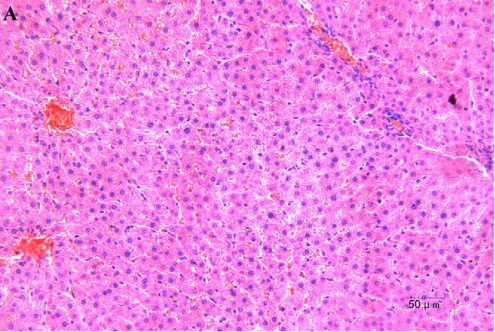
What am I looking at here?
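This is liver tissue composed of hepatocytes arranged in cords that radiate from central vessels. The hepatocytes are polygonal, with evenly pink cytoplasm and round, centrally placed purple-blue nuclei. Narrow spaces between the cords contain scattered red blood cells. Vessels packed with red blood cells are seen at the left, and a small vessel with surrounding nucleated cells runs near the upper right. The cytoplasm looks uniform, without clear vacuoles.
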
